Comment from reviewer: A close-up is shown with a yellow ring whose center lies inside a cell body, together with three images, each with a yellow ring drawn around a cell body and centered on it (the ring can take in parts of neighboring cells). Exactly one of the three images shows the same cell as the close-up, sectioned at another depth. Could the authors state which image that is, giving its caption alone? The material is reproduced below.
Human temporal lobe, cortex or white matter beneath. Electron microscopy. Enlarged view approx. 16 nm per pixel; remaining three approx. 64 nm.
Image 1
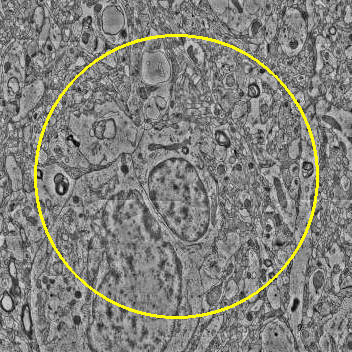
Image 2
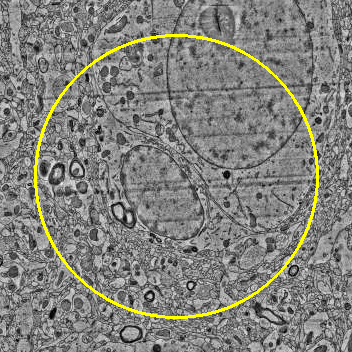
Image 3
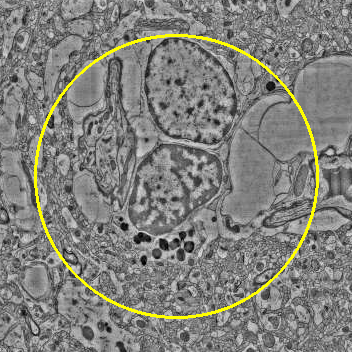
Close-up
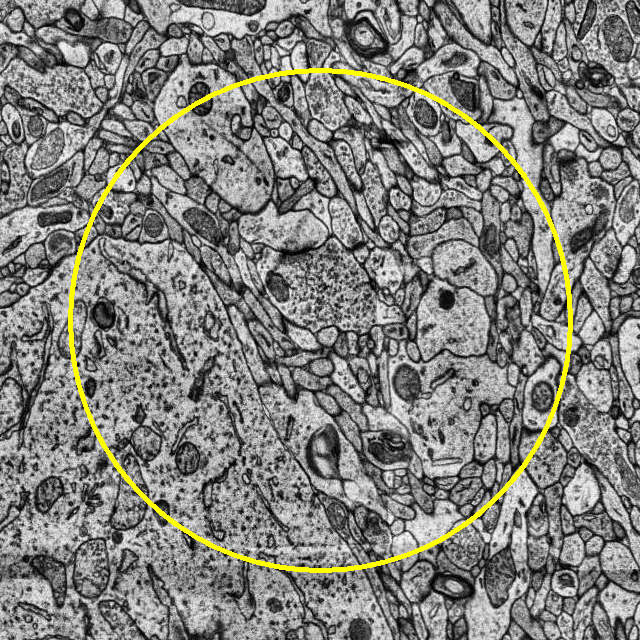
Image 1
